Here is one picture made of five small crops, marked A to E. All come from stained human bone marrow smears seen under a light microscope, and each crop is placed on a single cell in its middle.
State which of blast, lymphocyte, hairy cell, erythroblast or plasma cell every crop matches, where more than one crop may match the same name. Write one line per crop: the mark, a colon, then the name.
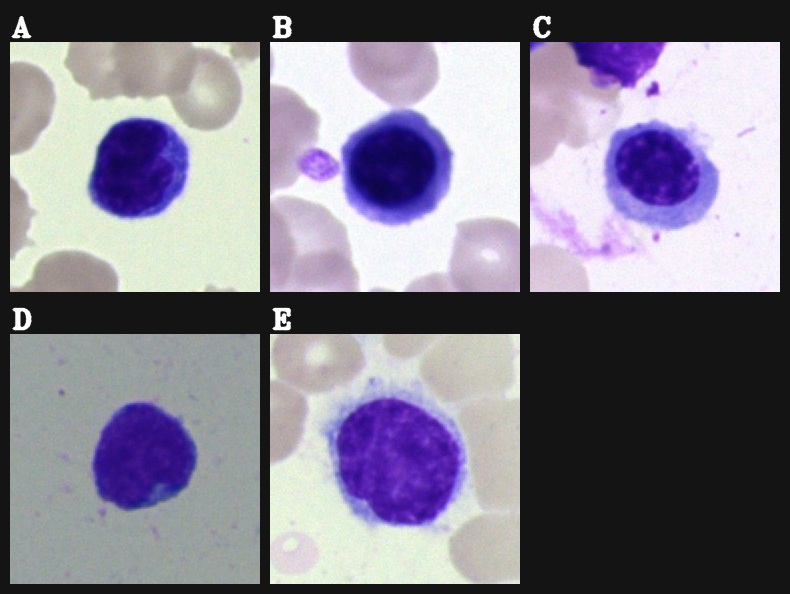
A: lymphocyte
B: erythroblast
C: erythroblast
D: blast
E: hairy cell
